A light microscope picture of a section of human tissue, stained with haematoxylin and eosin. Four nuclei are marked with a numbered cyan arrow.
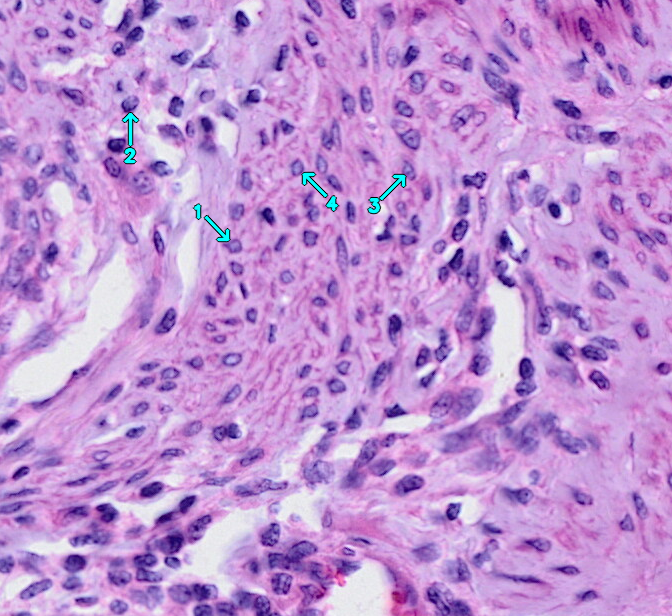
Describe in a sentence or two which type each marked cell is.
Cells 1, 3 and 4 are smooth muscle cells. Cell 2 is a lymphocyte.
